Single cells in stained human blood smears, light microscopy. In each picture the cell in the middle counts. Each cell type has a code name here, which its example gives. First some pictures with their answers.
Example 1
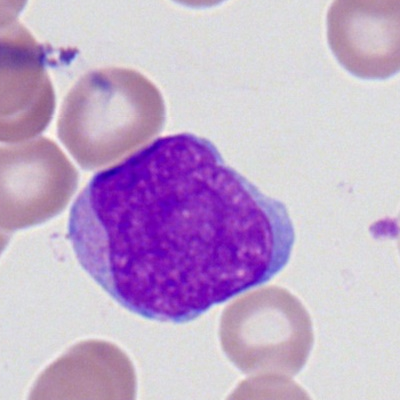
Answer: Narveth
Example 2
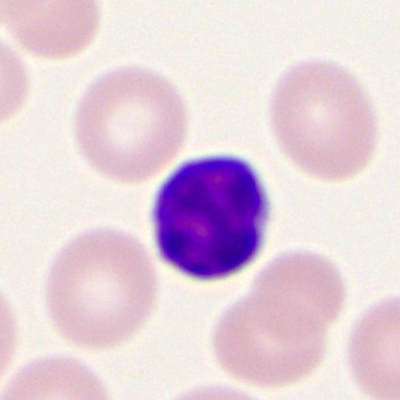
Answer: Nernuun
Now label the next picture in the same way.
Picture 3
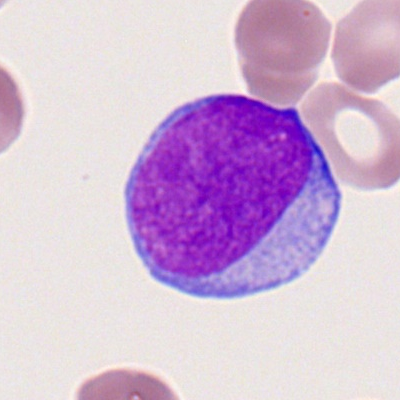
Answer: Narveth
